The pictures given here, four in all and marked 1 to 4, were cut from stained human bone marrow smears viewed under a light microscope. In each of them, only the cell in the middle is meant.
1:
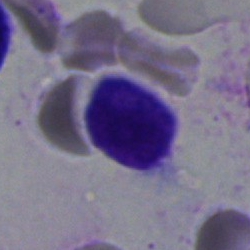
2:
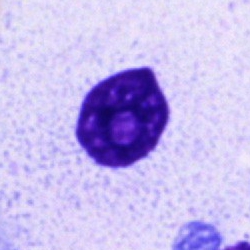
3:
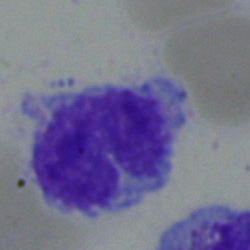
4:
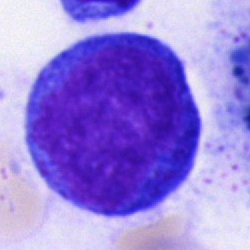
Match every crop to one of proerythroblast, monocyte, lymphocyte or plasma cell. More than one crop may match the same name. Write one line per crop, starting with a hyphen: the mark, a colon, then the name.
- 1: lymphocyte
- 2: lymphocyte
- 3: monocyte
- 4: proerythroblast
